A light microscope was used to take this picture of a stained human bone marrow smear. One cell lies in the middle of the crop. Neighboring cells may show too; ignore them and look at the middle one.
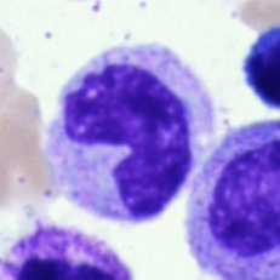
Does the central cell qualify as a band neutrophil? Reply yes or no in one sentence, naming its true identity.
Yes, the centrally placed cell is a band neutrophil.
